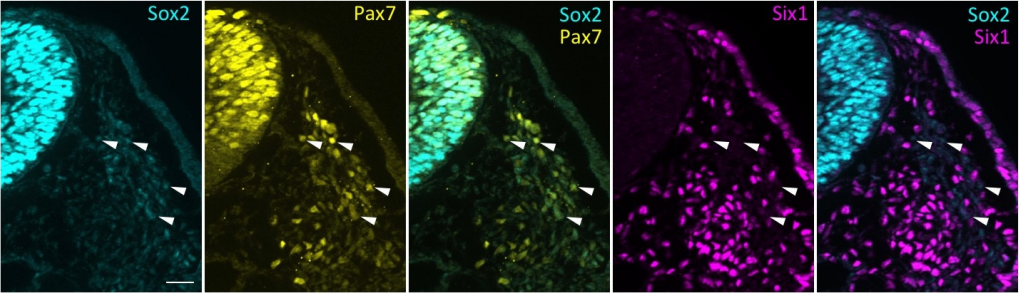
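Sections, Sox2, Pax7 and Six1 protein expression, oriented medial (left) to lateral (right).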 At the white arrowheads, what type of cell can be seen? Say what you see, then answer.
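The marked cells are scattered in loose tissue lateral to the densely packed tube. The marked cells lie beneath the thin surface layer.
Hence: delaminated neural crest cells.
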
